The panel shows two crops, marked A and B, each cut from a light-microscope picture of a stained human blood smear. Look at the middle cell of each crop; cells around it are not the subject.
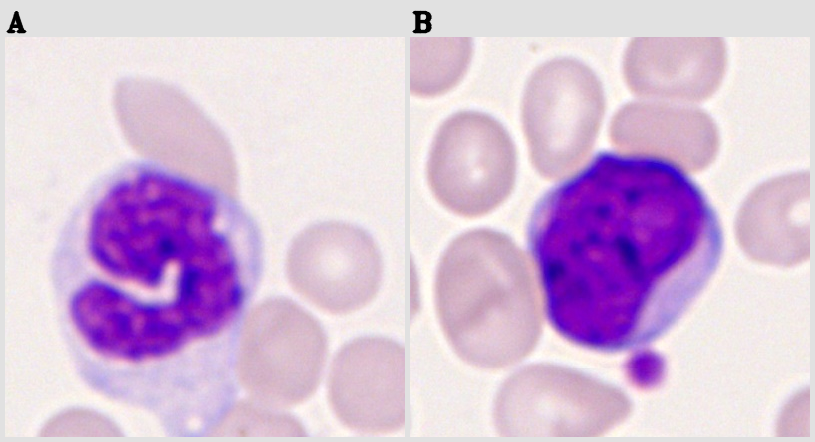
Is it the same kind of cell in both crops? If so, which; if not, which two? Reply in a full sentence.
No, a blast is the cell of crop B, while a monocyte is the cell of crop A.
